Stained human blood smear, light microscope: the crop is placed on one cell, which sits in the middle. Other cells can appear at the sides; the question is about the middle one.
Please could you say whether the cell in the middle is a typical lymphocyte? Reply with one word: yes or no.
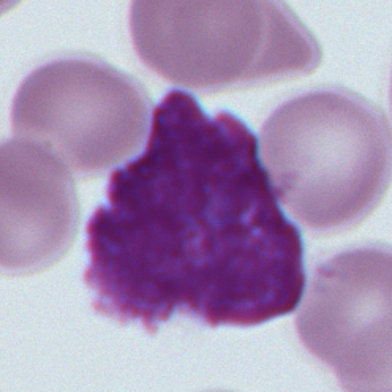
no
